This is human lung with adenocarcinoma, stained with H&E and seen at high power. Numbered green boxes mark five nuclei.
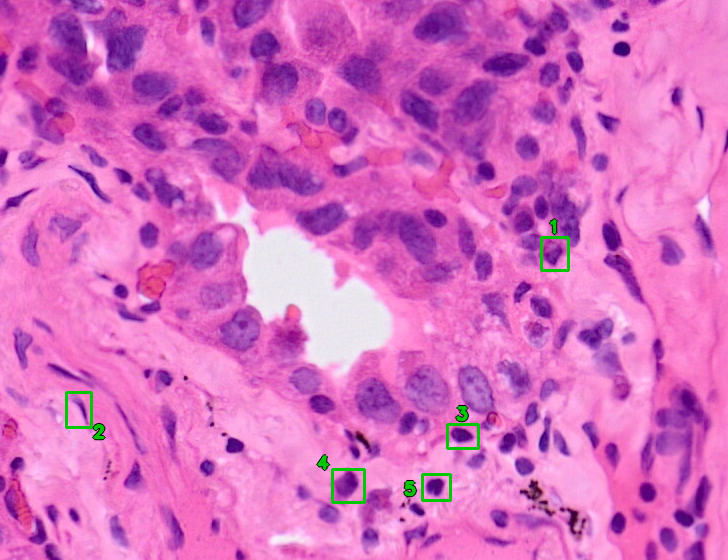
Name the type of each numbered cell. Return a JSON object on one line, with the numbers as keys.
{"1": "plasma cell", "2": "fibroblast", "3": "lymphocyte", "4": "plasma cell", "5": "lymphocyte"}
